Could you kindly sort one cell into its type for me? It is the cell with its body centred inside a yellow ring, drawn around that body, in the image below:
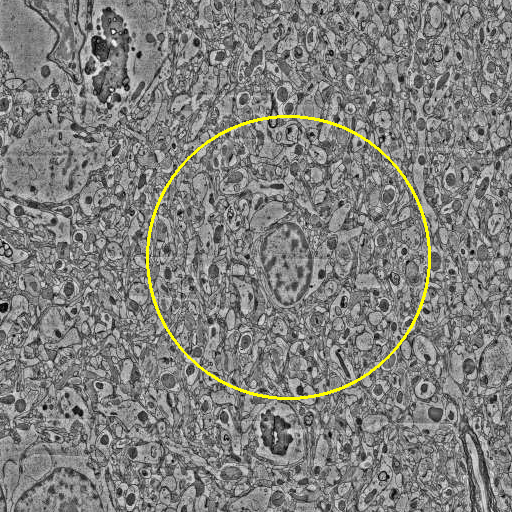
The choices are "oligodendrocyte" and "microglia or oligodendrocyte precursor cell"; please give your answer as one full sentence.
The cell whose body lies centred in the yellow ring here is a microglial cell or oligodendrocyte precursor cell.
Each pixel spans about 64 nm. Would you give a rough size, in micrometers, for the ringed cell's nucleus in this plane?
About 5 by 3 micrometres; in this plane the nucleus is clearly longer than it is wide.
